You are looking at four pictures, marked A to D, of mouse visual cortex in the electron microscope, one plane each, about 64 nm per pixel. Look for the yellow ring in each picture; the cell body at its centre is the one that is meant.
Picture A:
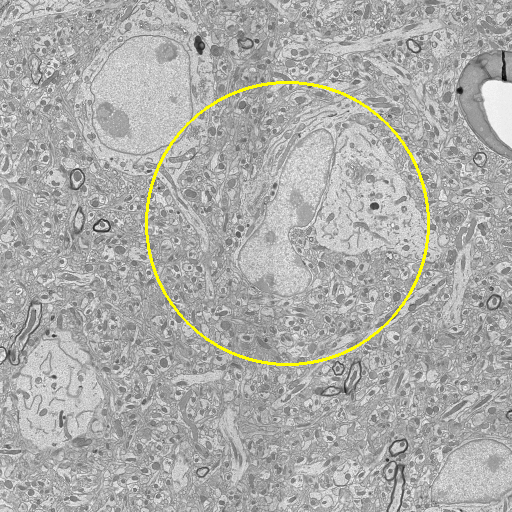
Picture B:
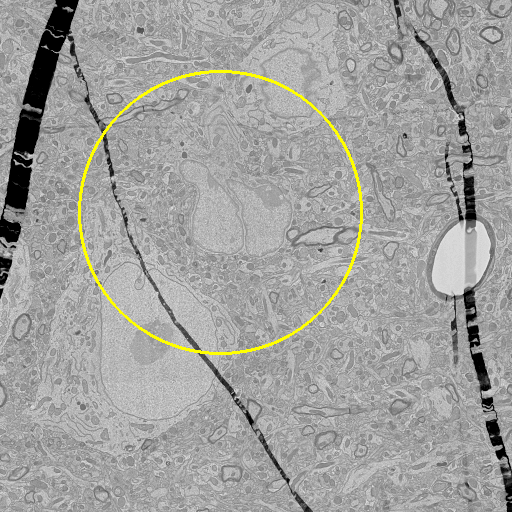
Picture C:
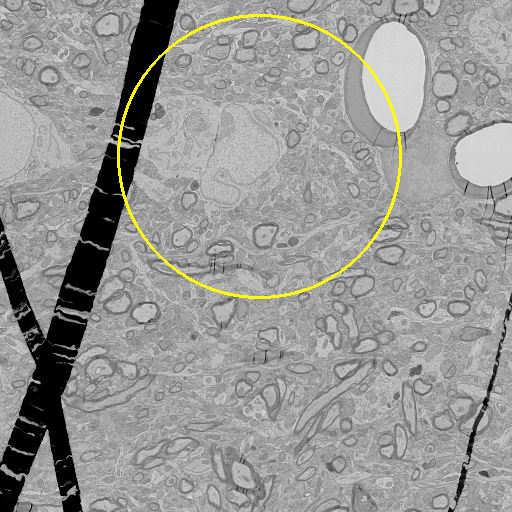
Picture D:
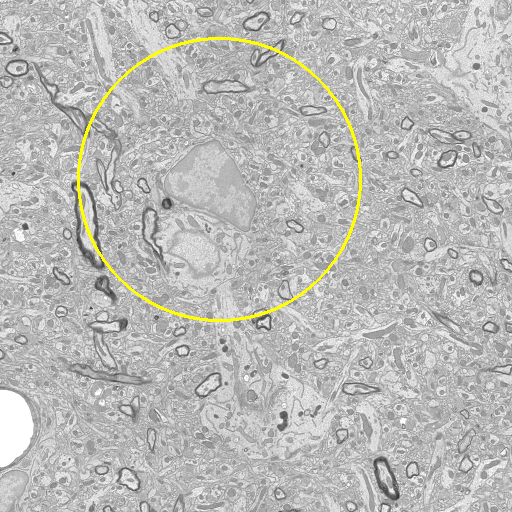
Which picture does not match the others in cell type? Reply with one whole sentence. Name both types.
Picture D is the odd one out: it shows a microglial cell, while the others show oligodendrocyte precursor cells.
